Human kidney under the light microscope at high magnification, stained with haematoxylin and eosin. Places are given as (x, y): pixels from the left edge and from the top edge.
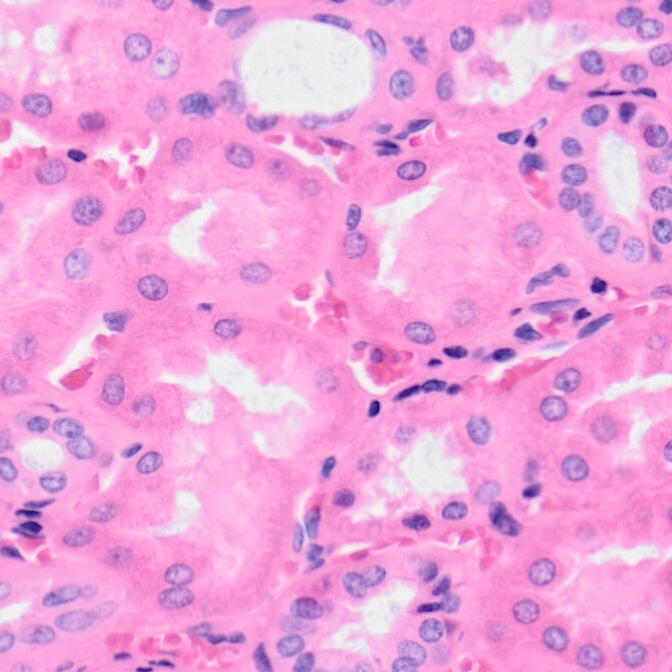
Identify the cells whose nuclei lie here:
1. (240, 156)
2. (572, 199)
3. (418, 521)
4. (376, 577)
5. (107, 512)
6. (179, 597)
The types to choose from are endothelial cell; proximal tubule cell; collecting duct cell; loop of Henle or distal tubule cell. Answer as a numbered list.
1. proximal tubule cell
2. collecting duct cell
3. loop of Henle or distal tubule cell
4. collecting duct cell
5. proximal tubule cell
6. proximal tubule cell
